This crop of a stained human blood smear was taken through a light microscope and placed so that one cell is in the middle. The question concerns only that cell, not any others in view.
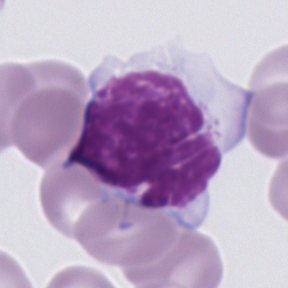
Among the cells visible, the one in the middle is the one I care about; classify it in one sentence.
The middle of this crop is occupied by a large granular lymphocyte.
